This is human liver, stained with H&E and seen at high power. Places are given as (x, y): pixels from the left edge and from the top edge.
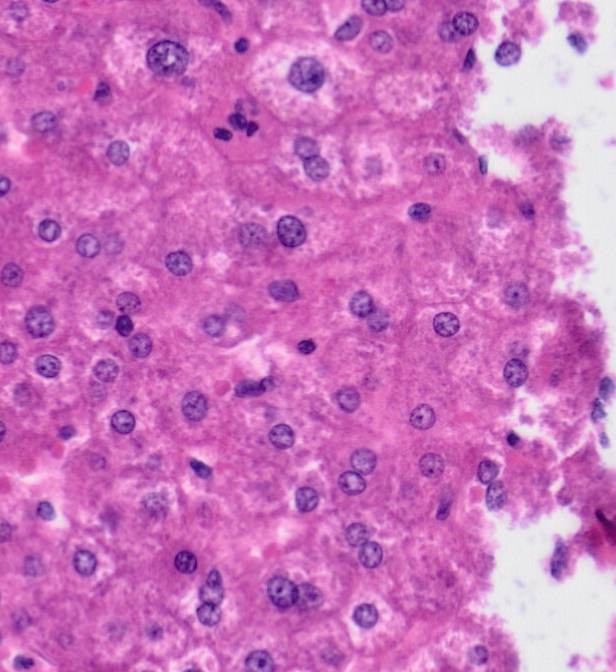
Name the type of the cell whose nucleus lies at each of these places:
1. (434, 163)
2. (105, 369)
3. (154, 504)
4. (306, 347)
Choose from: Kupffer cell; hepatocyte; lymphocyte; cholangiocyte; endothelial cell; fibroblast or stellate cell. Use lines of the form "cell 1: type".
cell 1: hepatocyte
cell 2: hepatocyte
cell 3: hepatocyte
cell 4: lymphocyte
